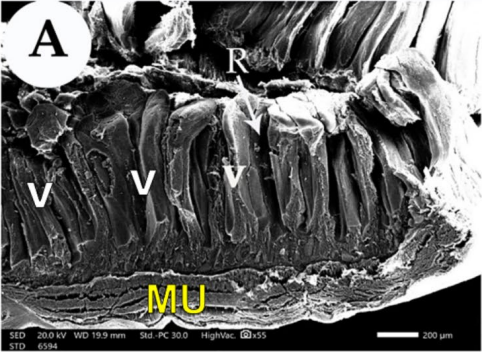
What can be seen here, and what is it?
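This scanning electron micrograph shows the intestinal wall in side view, with tall tongue-shaped villi standing close together like a palisade. Each villus is a flattened, elongated projection, and narrow recesses separate neighbouring villi. At the base the villi rest on a compact, layered band of muscular tissue that runs along the bottom of the wall.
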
